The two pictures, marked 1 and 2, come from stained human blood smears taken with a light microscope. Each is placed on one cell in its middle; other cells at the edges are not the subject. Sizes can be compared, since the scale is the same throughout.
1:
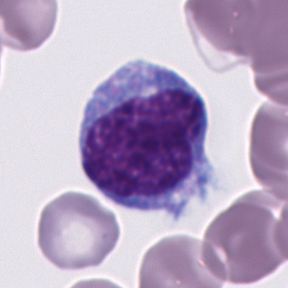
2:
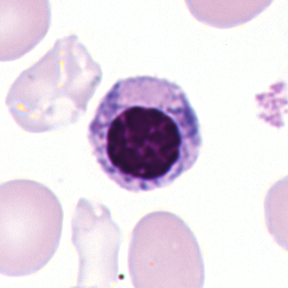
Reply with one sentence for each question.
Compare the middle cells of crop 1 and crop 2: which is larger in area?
The cell in crop 1 is larger, with about 1.5 times the area of the one in crop 2.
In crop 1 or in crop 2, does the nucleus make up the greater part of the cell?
In crop 1 the nucleus takes up the larger part of its cell.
